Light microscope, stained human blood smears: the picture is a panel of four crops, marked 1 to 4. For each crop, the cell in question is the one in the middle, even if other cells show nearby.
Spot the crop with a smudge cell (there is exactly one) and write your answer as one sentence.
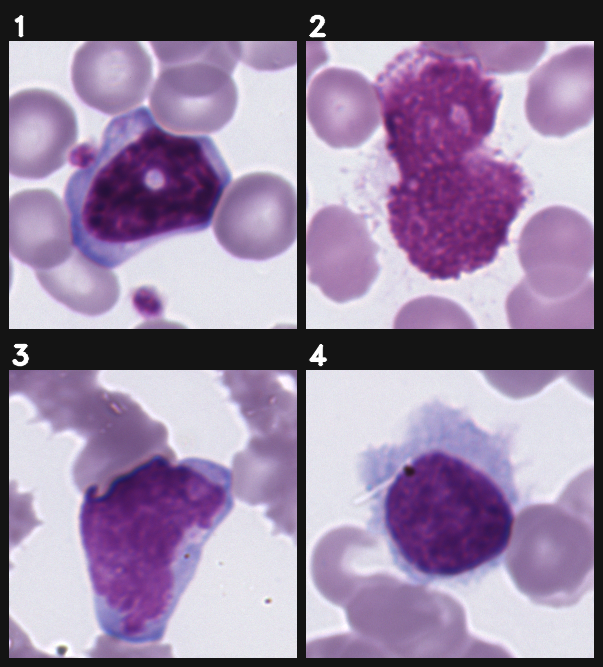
Crop 2 alone, of all the crops, shows a smudge cell.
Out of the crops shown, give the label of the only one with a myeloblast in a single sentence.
Crop 3 is the one depicting a myeloblast.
